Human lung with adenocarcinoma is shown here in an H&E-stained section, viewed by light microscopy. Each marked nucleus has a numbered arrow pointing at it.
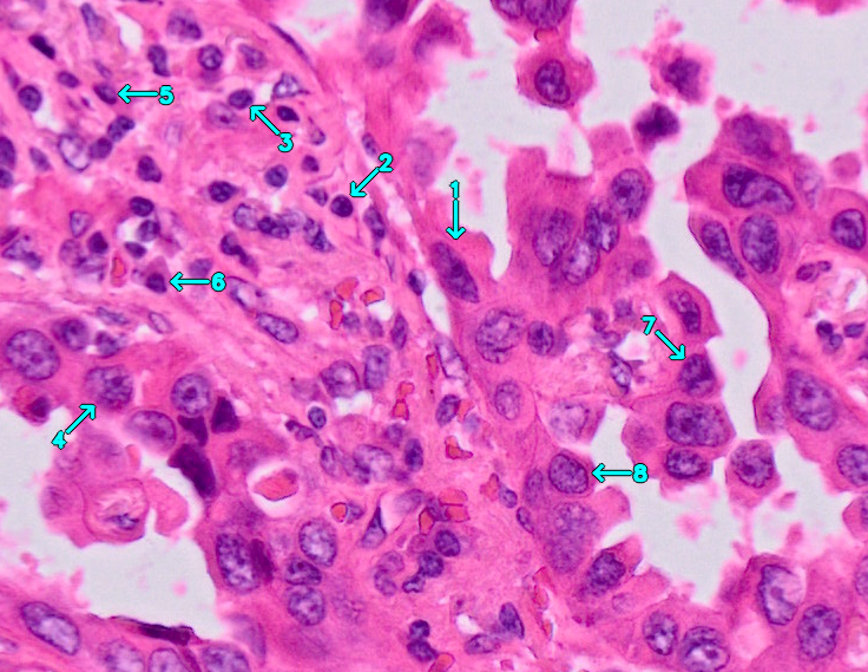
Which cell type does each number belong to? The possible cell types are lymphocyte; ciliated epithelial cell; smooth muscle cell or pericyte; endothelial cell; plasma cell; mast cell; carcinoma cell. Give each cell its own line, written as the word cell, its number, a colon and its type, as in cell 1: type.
cell 1: carcinoma cell
cell 2: lymphocyte
cell 3: lymphocyte
cell 4: carcinoma cell
cell 5: plasma cell
cell 6: plasma cell
cell 7: carcinoma cell
cell 8: carcinoma cell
